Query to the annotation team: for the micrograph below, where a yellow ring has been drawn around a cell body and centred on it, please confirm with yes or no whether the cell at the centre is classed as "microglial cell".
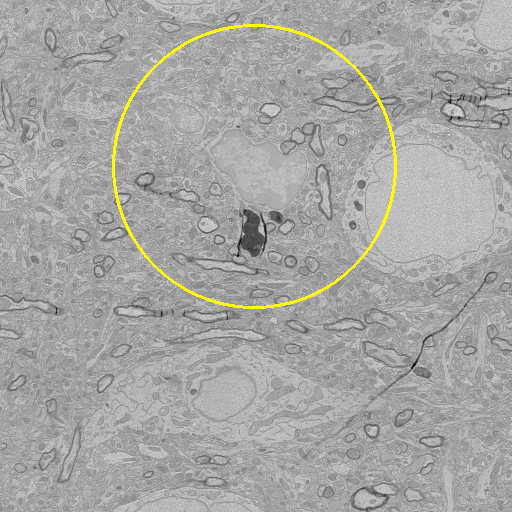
Yes, it is classed that way.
